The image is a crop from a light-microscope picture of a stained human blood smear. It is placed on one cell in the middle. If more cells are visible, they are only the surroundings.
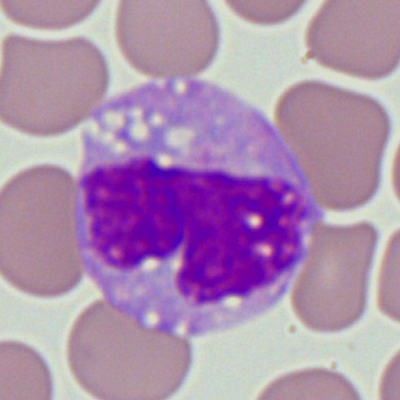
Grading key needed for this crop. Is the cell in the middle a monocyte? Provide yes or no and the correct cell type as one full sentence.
Yes, shown in the middle of the crop is a monocyte.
